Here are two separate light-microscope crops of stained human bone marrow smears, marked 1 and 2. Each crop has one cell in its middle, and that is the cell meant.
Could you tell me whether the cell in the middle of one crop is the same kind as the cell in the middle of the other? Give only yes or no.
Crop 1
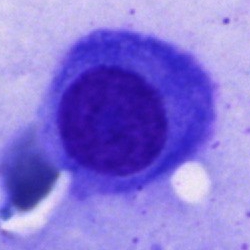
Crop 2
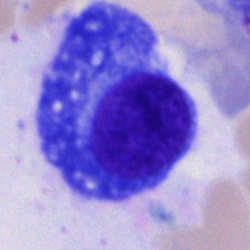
yes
